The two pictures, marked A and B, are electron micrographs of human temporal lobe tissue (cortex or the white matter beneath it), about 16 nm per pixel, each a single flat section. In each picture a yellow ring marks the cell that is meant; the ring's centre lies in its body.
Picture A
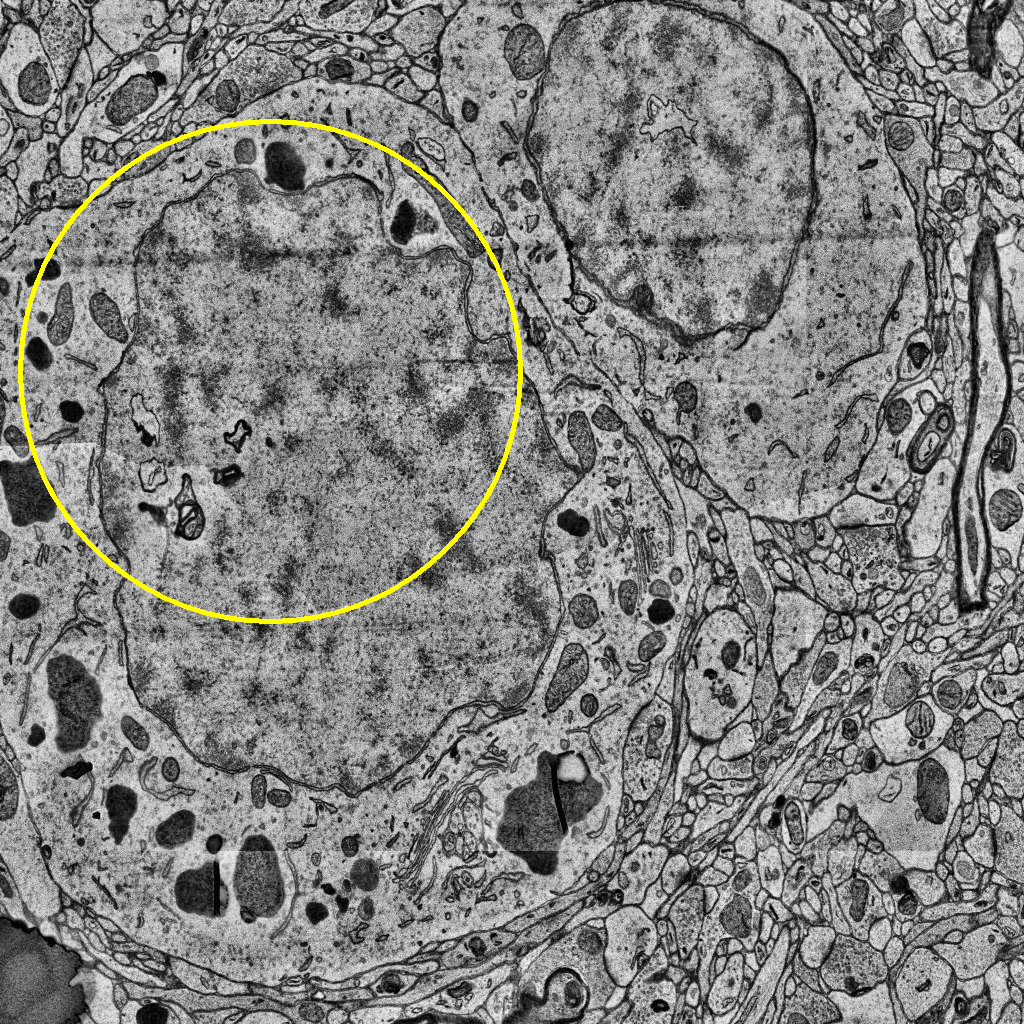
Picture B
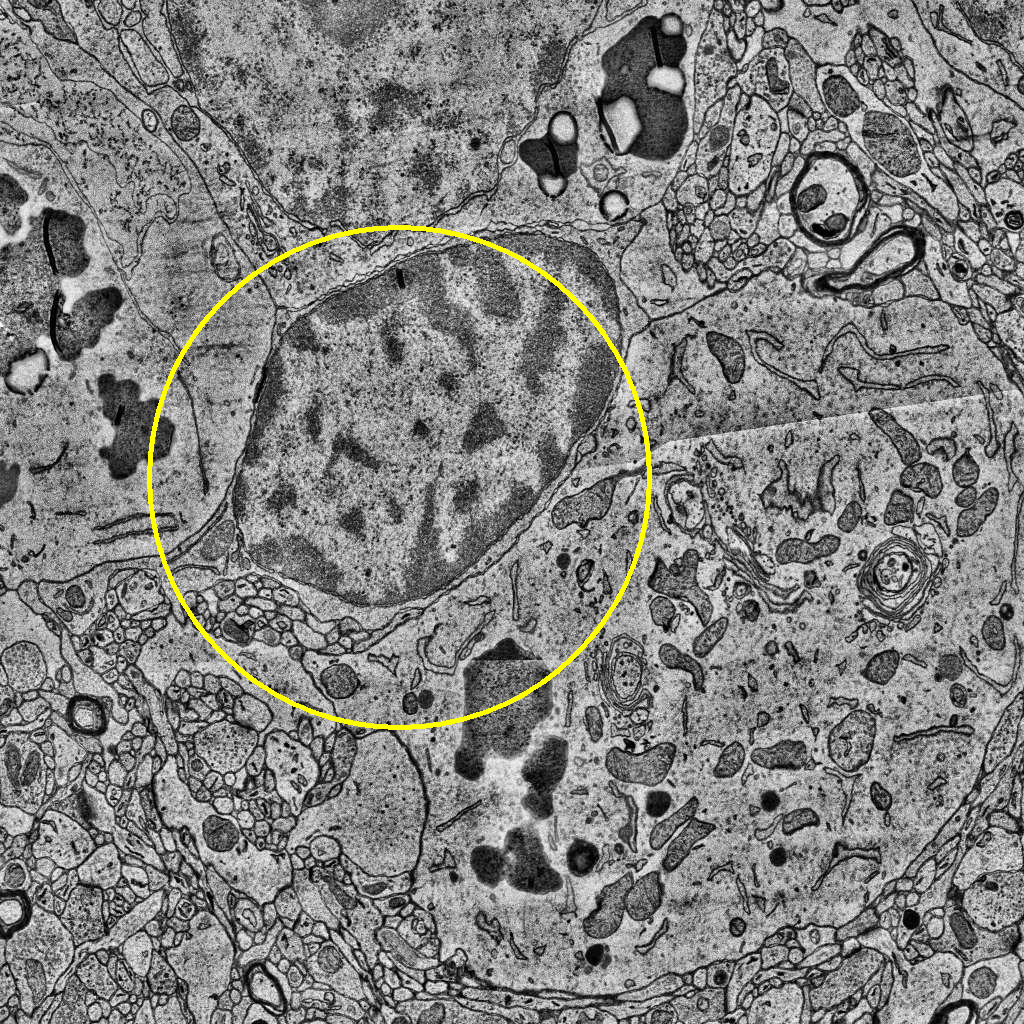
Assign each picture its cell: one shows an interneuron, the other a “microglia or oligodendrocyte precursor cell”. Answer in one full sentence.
Picture A is of an interneuron, and picture B is of a “microglia or oligodendrocyte precursor cell”.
